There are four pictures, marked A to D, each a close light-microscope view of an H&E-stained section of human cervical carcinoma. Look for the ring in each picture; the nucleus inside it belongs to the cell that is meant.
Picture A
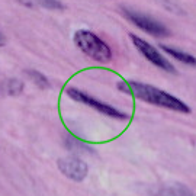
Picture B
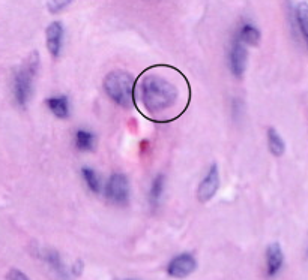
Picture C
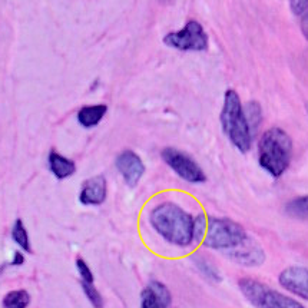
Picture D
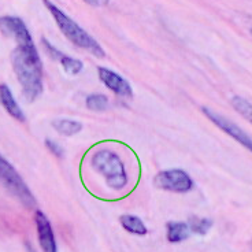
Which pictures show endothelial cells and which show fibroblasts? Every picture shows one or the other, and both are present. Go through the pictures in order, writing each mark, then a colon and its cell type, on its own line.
A: fibroblast
B: endothelial cell
C: endothelial cell
D: endothelial cell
